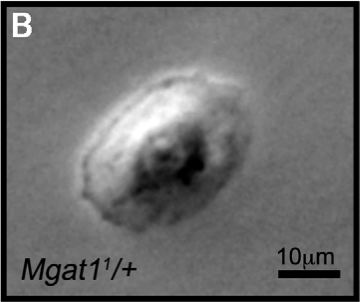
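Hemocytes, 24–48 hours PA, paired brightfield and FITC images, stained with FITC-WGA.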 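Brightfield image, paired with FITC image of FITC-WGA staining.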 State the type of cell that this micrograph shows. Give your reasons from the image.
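The cell looks flattened, with a thin, irregular rim around it. A darker irregular region lies toward the middle of the cell. That points to this answer: Lamellocytes.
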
